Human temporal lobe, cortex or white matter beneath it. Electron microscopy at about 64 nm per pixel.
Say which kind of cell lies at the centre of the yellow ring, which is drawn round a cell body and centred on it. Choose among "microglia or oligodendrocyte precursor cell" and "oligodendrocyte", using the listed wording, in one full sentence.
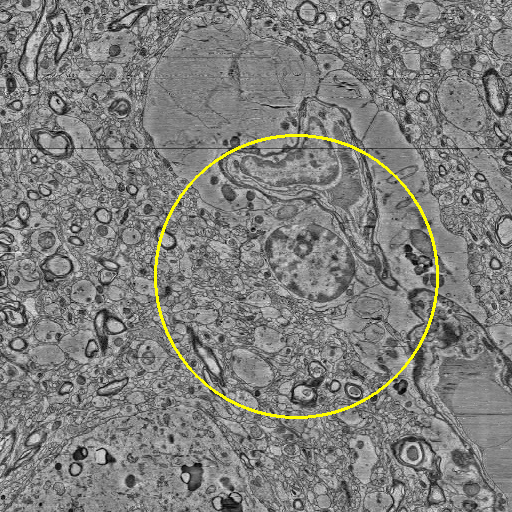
Going by the list, the cell at the yellow ring's centre is a microglial cell or oligodendrocyte precursor cell.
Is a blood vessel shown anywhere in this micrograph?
Yes, there is a blood vessel in the image.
